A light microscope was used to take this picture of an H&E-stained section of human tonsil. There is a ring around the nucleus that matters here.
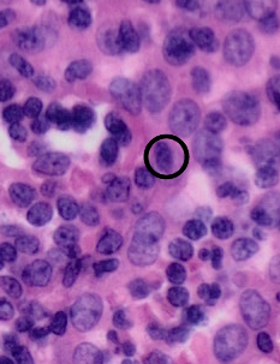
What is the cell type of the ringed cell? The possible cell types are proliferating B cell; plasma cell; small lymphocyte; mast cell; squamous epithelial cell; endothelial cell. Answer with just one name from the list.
endothelial cell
